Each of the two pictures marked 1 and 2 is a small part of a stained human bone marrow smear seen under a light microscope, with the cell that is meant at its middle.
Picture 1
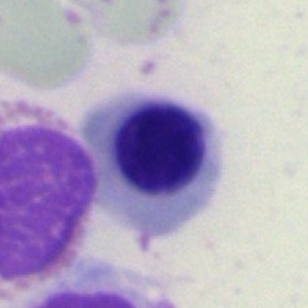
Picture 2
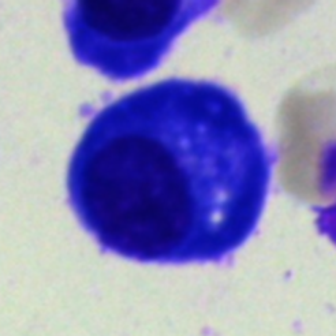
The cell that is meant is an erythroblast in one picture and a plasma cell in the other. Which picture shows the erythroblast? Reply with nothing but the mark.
1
